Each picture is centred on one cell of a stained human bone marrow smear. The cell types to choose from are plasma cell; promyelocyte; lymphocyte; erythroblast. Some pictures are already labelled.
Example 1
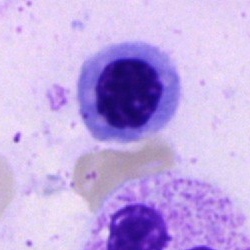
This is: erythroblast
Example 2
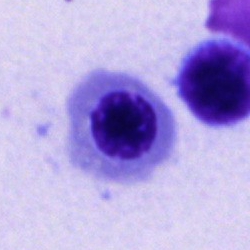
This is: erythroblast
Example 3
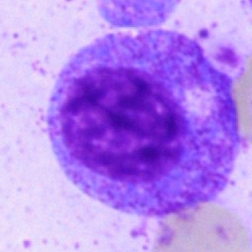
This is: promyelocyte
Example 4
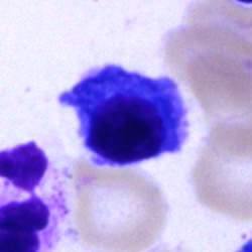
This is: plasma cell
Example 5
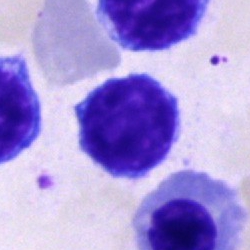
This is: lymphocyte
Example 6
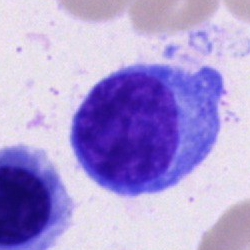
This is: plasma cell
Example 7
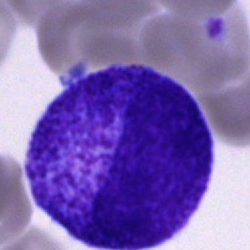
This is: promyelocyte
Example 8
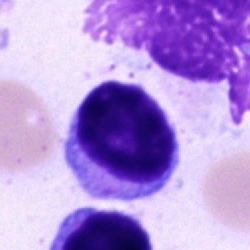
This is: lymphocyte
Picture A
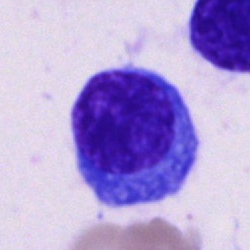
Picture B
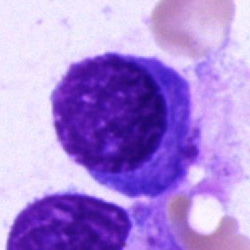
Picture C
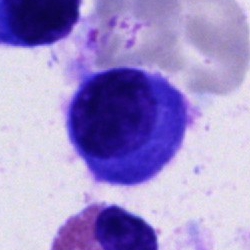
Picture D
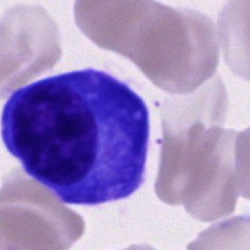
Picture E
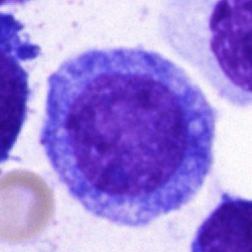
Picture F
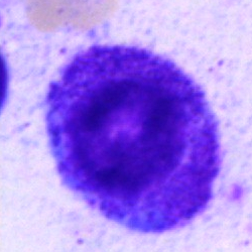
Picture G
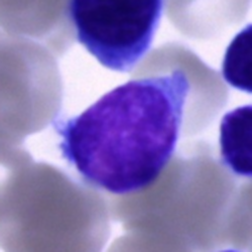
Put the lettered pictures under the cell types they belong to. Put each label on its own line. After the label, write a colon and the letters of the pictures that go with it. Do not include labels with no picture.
plasma cell: A, B, C, D
promyelocyte: E, F
lymphocyte: G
